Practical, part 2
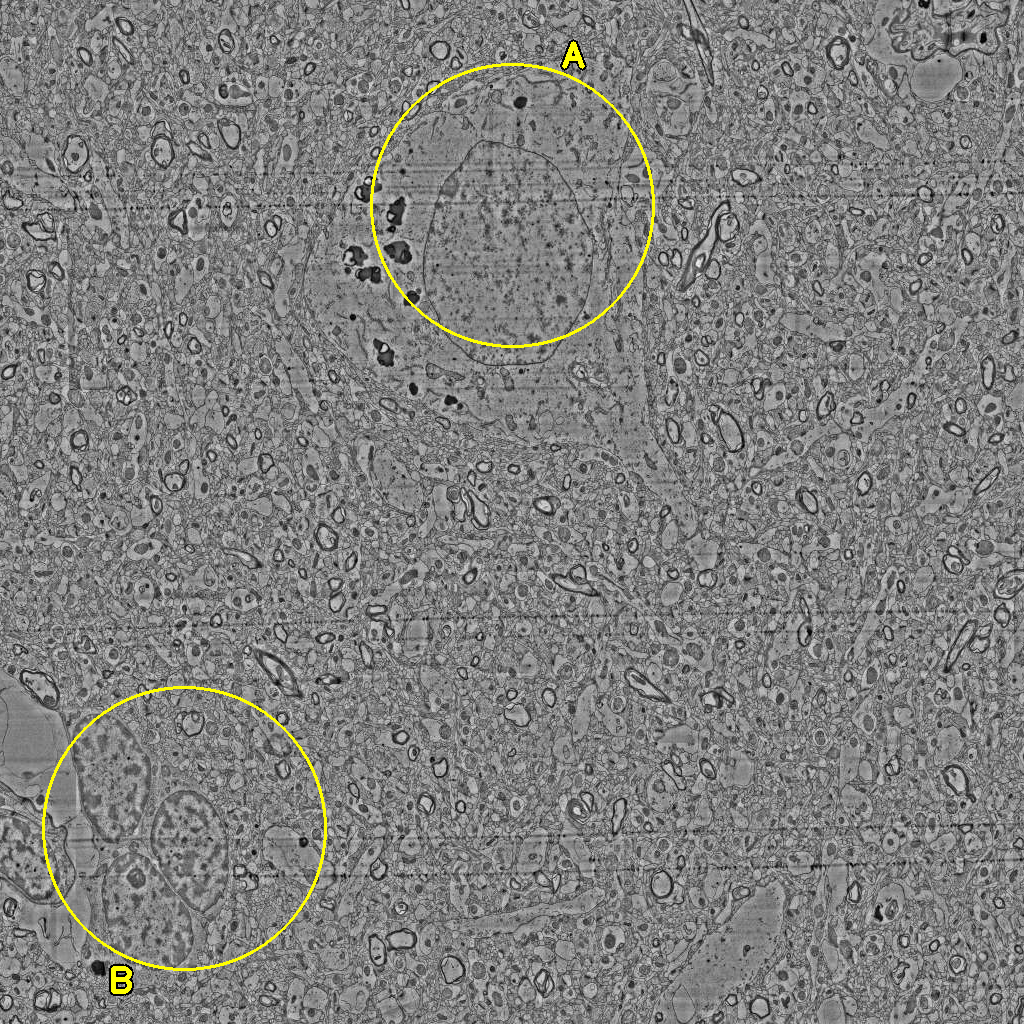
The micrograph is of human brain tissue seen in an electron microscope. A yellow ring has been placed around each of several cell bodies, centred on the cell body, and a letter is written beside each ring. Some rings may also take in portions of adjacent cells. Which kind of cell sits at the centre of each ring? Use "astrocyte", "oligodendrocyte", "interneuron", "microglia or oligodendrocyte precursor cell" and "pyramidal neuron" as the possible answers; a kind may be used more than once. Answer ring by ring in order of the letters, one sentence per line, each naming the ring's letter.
Ring A sits on a pyramidal neuron.
Ring B sits on an oligodendrocyte.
